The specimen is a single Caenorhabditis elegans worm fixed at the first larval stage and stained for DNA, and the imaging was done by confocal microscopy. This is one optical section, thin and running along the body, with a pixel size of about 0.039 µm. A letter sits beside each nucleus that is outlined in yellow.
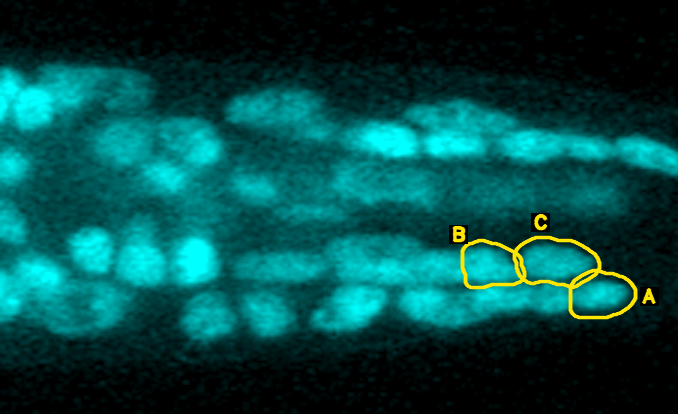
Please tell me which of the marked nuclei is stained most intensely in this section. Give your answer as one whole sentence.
Nucleus B shows the strongest staining.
